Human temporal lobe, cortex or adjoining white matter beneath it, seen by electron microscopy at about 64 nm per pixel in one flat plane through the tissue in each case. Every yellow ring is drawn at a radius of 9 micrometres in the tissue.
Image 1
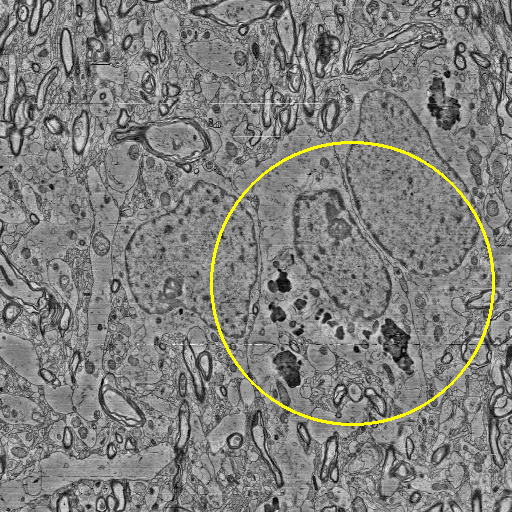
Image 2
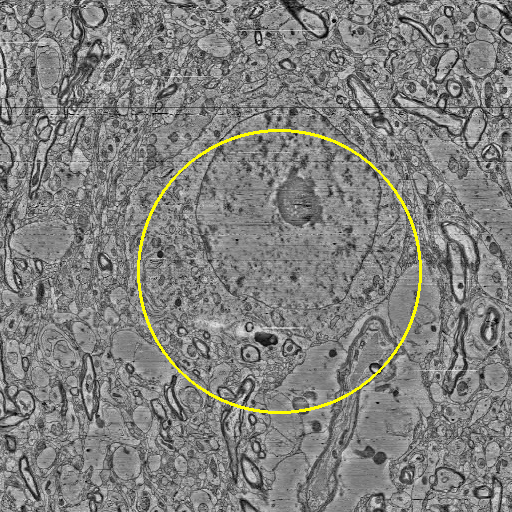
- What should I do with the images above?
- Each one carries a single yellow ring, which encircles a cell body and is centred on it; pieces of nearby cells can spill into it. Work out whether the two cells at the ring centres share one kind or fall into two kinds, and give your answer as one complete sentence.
The ring-centre cells of Image 1 and Image 2 fall into two kinds.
